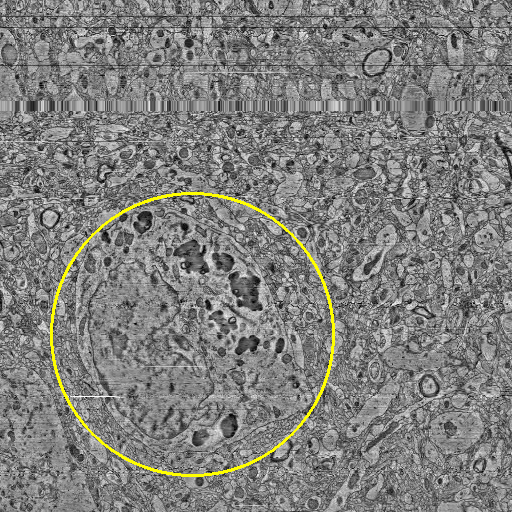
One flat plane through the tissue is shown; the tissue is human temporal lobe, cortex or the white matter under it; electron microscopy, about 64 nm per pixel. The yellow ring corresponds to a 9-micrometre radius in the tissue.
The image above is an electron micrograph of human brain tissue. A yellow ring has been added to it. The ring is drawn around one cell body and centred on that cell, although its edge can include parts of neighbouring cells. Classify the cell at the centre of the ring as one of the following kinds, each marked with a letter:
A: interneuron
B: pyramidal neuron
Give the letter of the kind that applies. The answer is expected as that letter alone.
A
